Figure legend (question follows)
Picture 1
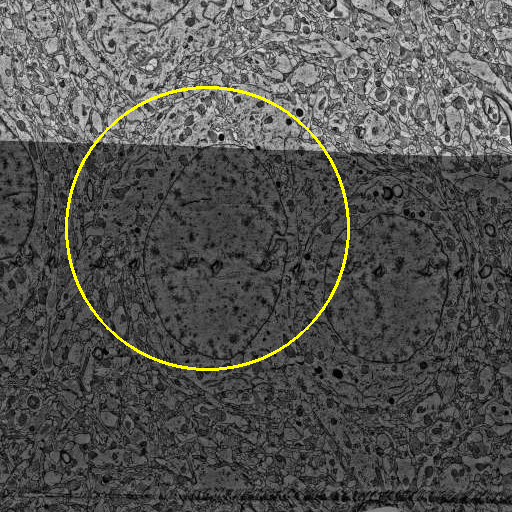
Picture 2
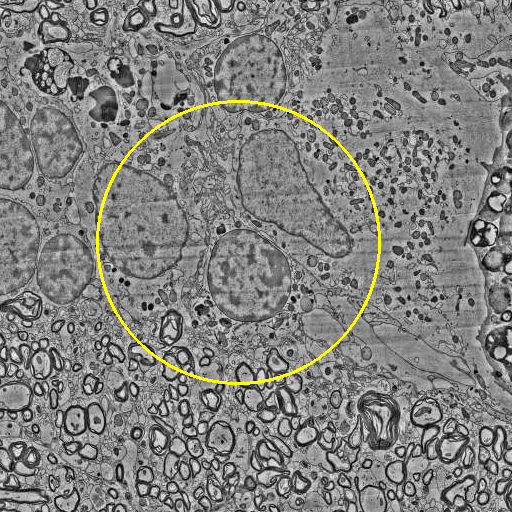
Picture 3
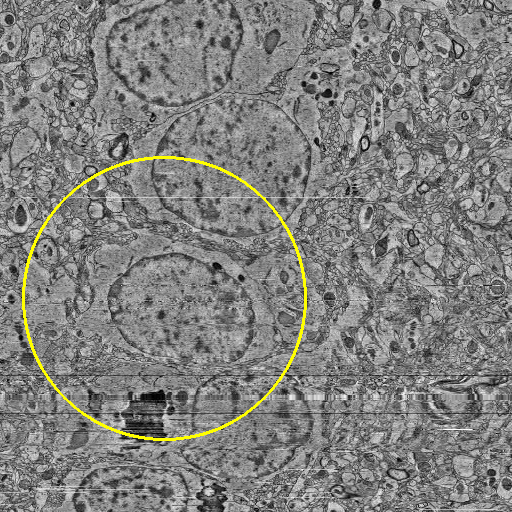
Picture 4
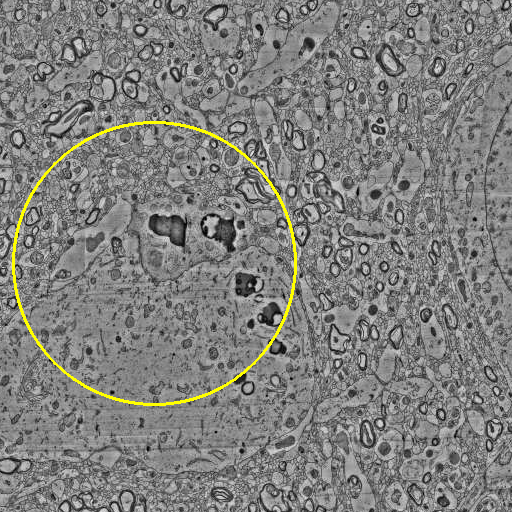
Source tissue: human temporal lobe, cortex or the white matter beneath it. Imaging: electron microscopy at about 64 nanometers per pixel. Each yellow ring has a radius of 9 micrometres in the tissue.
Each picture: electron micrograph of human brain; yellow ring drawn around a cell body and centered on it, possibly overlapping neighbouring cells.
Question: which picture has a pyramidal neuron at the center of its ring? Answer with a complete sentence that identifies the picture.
Picture 1 has it at the center of its ring.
